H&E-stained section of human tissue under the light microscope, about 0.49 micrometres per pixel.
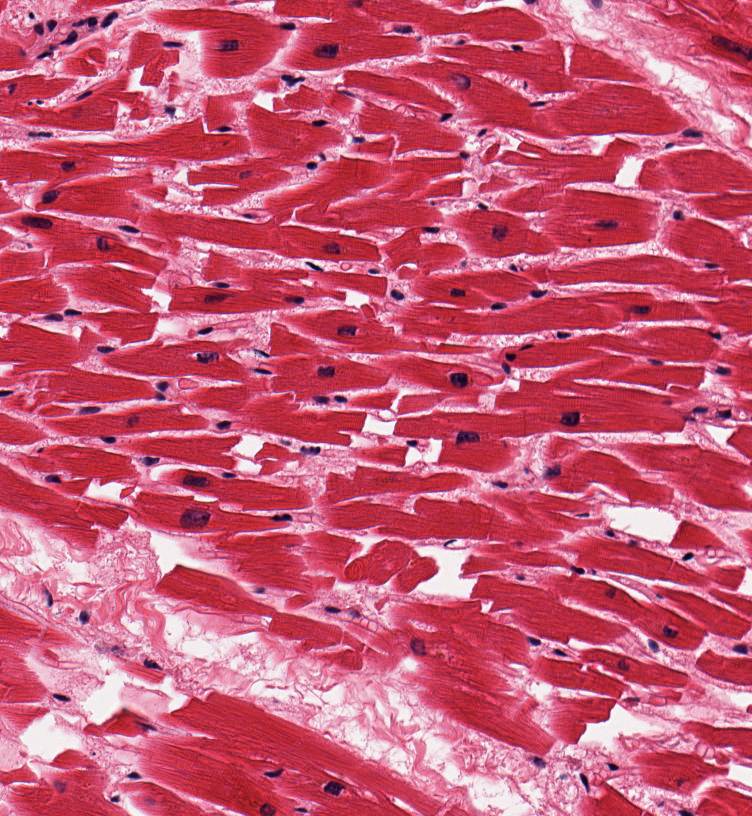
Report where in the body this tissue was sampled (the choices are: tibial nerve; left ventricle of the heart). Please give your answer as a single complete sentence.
This section consists of tissue sampled from the left ventricle of the heart.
